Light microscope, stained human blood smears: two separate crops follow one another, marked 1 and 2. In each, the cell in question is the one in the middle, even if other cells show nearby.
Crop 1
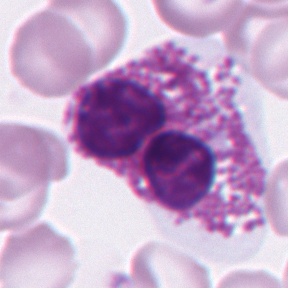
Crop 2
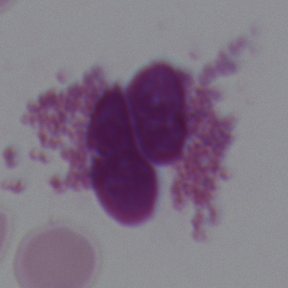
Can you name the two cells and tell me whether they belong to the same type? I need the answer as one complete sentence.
Yes, both crops here show eosinophils, the pair of them.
